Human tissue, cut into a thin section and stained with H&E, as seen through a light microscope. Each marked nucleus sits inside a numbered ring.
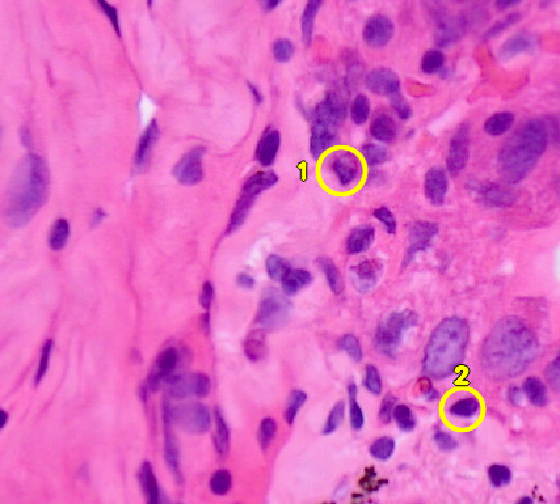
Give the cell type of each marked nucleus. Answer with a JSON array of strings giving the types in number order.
["plasma cell", "lymphocyte"]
